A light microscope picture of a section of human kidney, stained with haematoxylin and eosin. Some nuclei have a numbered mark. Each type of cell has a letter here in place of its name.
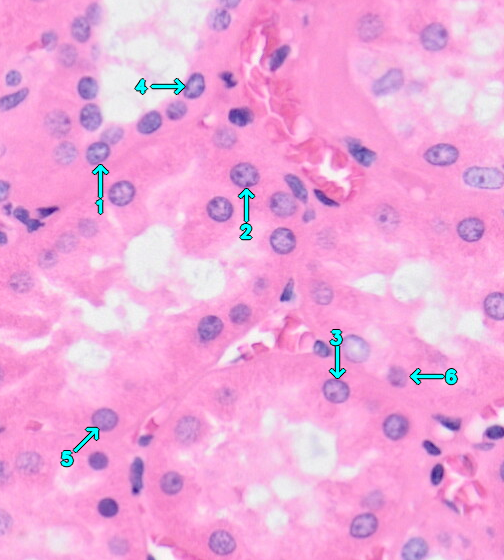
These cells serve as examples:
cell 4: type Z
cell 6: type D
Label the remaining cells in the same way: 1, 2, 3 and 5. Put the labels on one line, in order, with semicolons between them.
type Z; type D; type D; type D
